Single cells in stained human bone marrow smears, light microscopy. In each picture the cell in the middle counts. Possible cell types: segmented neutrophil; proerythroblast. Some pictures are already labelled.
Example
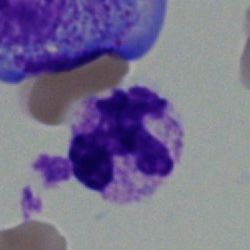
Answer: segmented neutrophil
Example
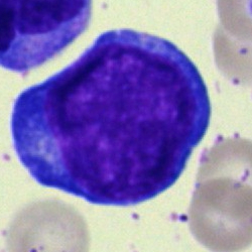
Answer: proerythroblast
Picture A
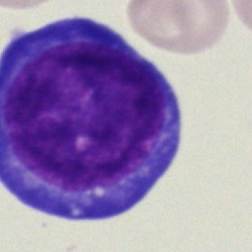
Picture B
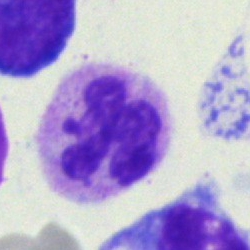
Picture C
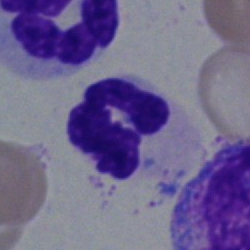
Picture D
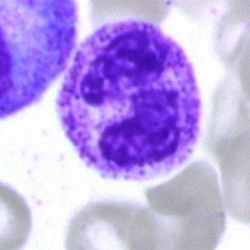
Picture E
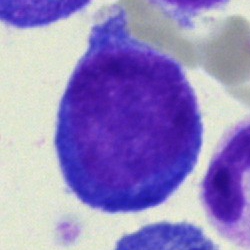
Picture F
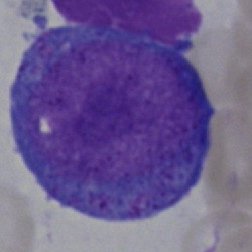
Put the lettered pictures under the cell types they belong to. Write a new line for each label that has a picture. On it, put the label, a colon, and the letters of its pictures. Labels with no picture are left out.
segmented neutrophil: B, C, D
proerythroblast: A, E, F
